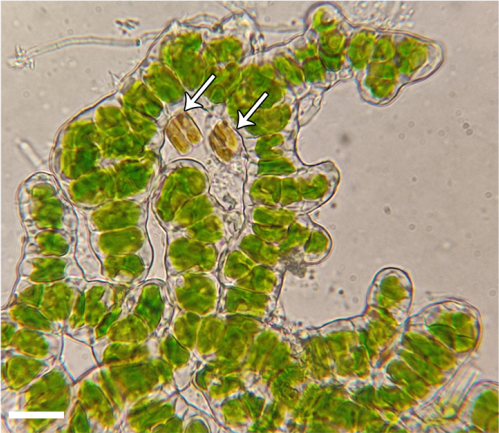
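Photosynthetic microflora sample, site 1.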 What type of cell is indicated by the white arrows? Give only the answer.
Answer: Diatoms.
